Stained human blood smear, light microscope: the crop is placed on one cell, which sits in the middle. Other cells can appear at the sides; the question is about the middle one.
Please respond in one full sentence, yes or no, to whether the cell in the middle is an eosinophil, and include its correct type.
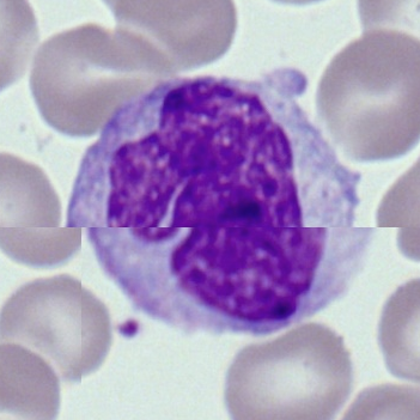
No, in the centre of the crop lies a monocyte, not an eosinophil.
